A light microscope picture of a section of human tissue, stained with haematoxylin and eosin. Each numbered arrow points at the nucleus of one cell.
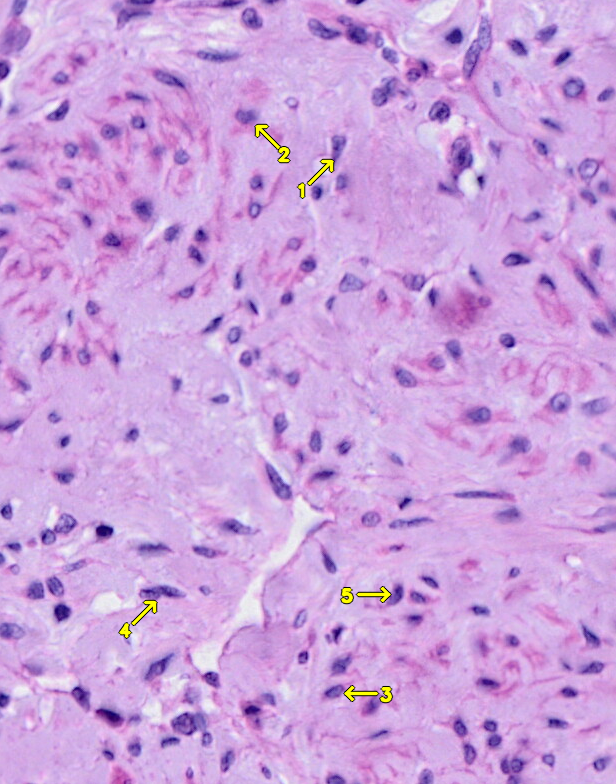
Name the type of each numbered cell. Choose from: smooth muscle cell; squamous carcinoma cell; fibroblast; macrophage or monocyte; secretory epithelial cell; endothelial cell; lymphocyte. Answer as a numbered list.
1. fibroblast
2. smooth muscle cell
3. smooth muscle cell
4. fibroblast
5. smooth muscle cell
